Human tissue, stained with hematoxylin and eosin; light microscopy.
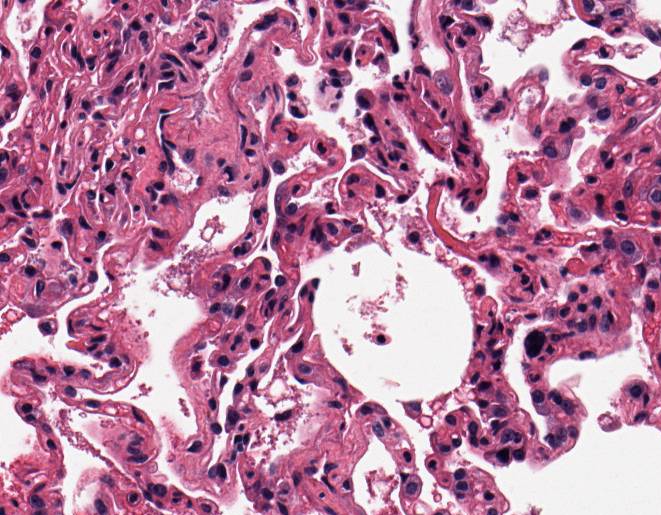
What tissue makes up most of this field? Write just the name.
alveolus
